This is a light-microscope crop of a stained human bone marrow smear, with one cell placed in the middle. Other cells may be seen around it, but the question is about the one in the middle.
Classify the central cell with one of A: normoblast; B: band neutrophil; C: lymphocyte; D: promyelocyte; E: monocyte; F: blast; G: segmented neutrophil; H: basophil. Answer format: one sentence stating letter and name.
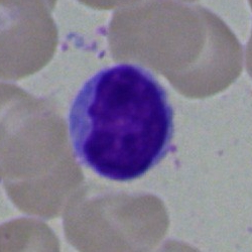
The cell centered in the crop is a lymphocyte, making option C the correct pick.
